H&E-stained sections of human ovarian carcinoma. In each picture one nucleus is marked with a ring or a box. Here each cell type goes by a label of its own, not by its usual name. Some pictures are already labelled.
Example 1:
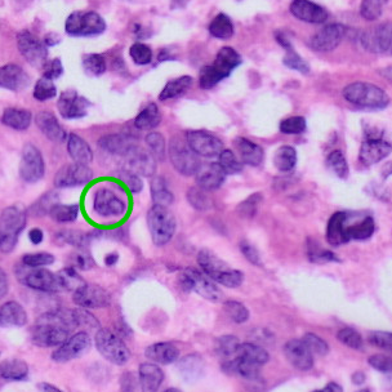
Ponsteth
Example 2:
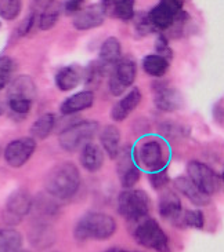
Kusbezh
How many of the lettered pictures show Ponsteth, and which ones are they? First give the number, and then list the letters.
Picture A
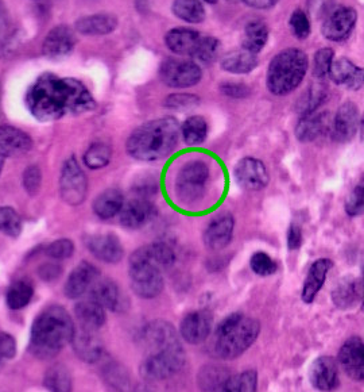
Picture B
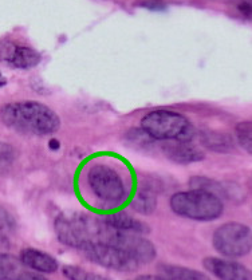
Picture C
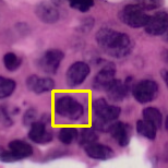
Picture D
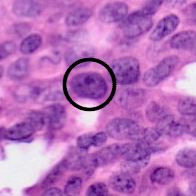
0, none of them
